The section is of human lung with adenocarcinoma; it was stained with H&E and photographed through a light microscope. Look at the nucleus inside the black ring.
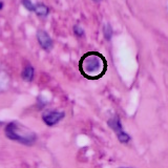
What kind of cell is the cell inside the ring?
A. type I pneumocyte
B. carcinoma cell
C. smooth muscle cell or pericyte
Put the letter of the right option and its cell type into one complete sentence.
Under option C, the cell inside the ring is a smooth muscle cell or pericyte, which is the correct identification.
